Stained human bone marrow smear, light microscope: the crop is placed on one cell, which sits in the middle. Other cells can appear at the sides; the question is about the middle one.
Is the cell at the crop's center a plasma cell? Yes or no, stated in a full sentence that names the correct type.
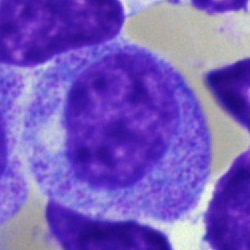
No, the central cell should be identified as a promyelocyte, not as a plasma cell.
